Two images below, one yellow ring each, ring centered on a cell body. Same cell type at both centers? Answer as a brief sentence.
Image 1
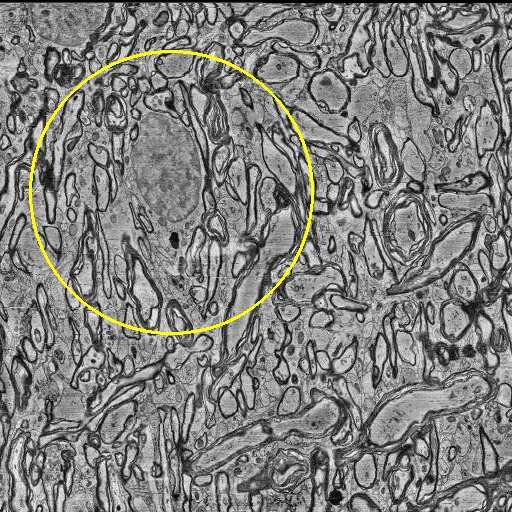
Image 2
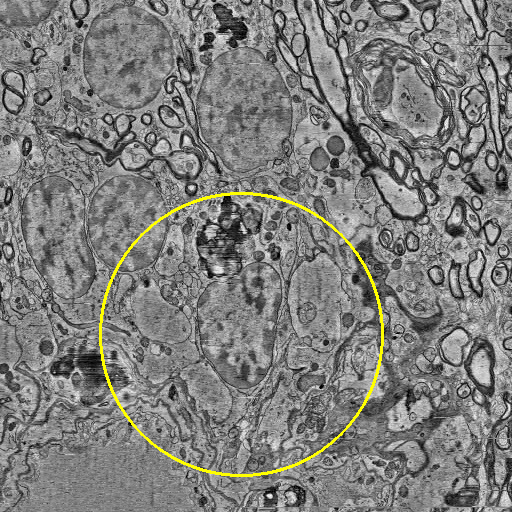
No, the cells are of two separate types.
